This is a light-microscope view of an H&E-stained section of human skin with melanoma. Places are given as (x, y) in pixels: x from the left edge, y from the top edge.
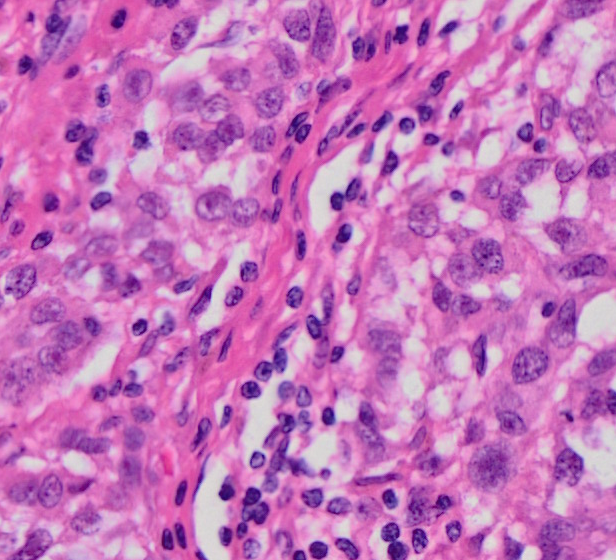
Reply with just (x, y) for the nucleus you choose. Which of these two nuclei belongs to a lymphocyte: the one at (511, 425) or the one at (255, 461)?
(255, 461)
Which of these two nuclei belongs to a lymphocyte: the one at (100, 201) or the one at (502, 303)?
(100, 201)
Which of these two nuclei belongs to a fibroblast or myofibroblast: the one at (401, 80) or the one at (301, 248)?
(401, 80)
